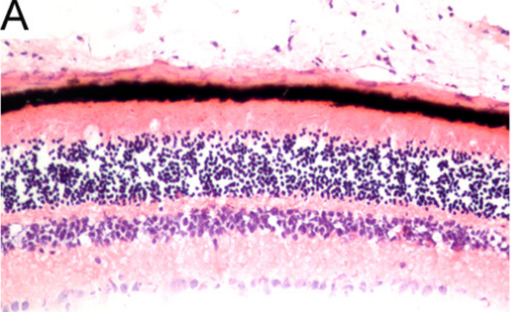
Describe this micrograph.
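Layered retina in cross-section: a smooth continuous black pigmented epithelial band runs above a pink band, then a thick layer of densely packed small dark round nuclei, a thin pale layer and a layer of larger, paler nuclei. Below lies a pale pink fibrous layer with scattered cells at the bottom edge.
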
